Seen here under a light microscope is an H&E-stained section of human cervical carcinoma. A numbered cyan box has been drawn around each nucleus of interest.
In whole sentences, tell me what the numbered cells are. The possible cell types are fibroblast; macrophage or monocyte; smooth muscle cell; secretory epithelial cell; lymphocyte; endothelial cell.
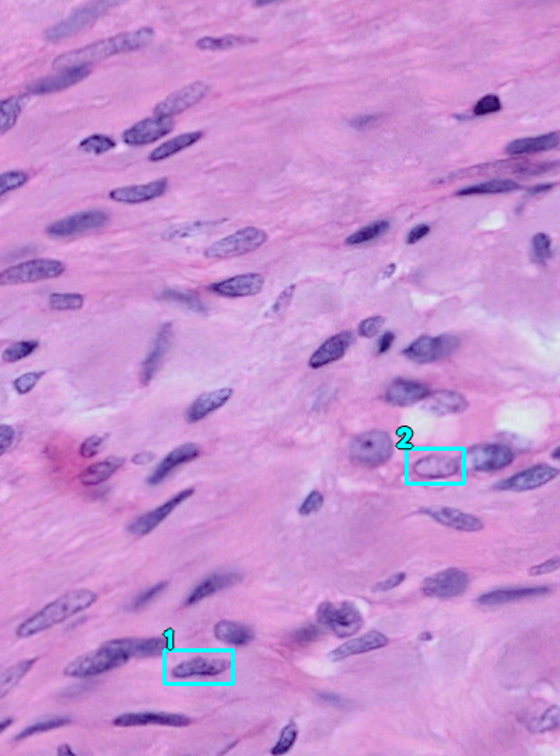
Cell 1 is a fibroblast. Cell 2 is an endothelial cell.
